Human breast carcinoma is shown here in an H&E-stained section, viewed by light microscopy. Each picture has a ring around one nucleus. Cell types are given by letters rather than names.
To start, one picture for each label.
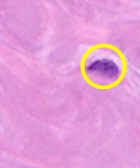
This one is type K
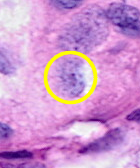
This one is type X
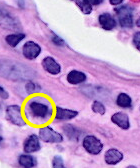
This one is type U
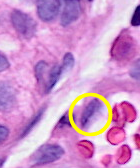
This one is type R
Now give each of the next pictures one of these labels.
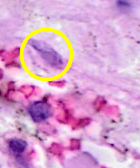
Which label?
type K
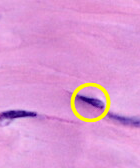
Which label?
type K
